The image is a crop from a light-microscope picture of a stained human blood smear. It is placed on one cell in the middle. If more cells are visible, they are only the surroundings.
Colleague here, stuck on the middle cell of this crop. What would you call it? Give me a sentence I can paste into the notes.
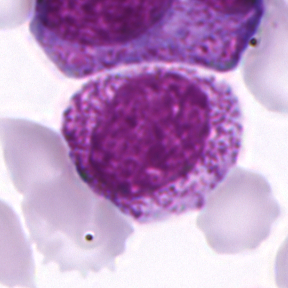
The cell shown in the center of this light-microscope crop is a myelocyte.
